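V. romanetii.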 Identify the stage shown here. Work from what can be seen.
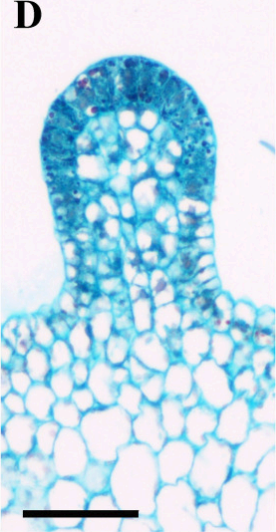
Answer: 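Young glandular trichome with short stalk. A rounded head with a densely stained outer cell layer. The head is borne on a short, narrower column of cells above the surface tissue.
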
